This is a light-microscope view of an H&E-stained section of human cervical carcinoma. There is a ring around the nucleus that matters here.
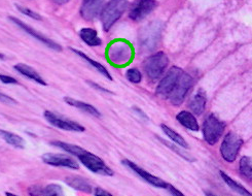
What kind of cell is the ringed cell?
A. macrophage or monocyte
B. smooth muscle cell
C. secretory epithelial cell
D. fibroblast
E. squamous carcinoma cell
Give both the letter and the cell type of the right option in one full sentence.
Answer with option C; the ringed cell is a secretory epithelial cell.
